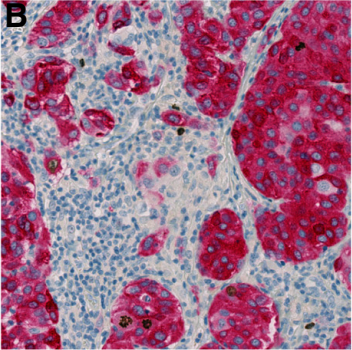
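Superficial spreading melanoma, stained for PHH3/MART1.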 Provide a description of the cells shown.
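A few scattered nuclei within the nests are stained dark brown. Between the nests lies a pale stroma crowded with small, round, dark blue nuclei.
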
